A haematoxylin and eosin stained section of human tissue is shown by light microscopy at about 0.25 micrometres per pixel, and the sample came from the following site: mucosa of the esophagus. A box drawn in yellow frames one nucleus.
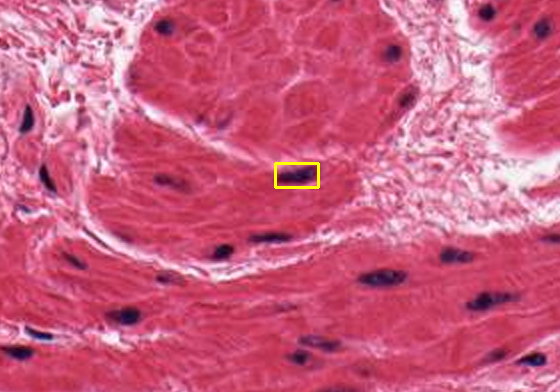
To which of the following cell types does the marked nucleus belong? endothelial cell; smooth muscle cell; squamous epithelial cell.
smooth muscle cell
